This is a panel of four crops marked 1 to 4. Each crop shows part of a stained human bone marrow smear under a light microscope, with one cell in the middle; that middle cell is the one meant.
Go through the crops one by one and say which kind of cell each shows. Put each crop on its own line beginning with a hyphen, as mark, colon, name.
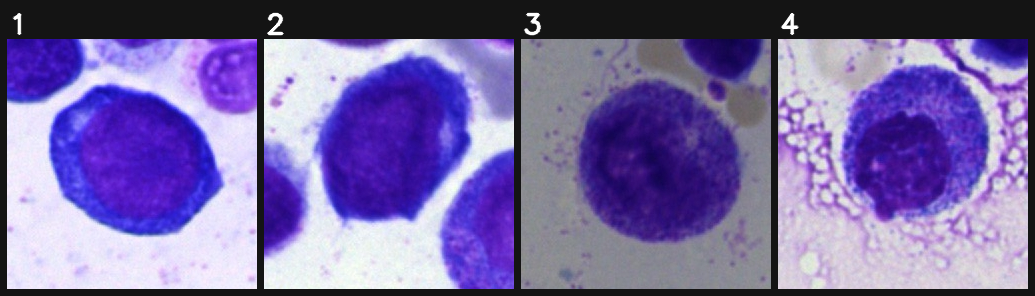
- 1: proerythroblast
- 2: proerythroblast
- 3: promyelocyte
- 4: promyelocyte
